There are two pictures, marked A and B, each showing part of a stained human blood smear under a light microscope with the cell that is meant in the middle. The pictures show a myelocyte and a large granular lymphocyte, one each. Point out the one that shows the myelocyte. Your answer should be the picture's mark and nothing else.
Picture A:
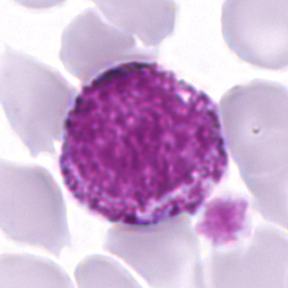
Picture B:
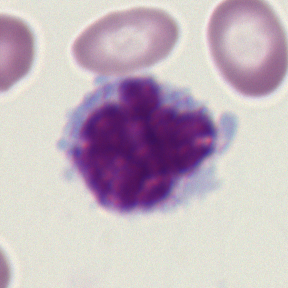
A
